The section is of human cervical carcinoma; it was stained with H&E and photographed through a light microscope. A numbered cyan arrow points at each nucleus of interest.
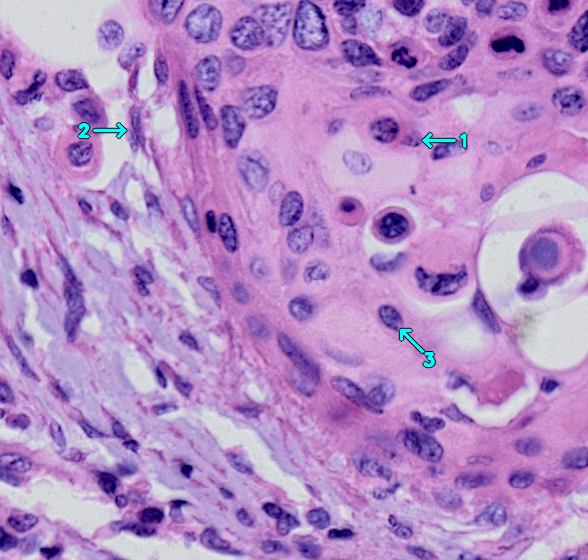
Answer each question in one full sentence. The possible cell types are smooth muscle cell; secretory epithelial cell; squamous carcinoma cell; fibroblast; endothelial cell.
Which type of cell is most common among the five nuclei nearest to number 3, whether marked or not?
The majority of the five nuclei closest to number 3 belong to squamous carcinoma cells.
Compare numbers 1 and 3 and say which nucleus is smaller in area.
With nucleus 3 about 2 times its size, nucleus 1 is the smaller of the two.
